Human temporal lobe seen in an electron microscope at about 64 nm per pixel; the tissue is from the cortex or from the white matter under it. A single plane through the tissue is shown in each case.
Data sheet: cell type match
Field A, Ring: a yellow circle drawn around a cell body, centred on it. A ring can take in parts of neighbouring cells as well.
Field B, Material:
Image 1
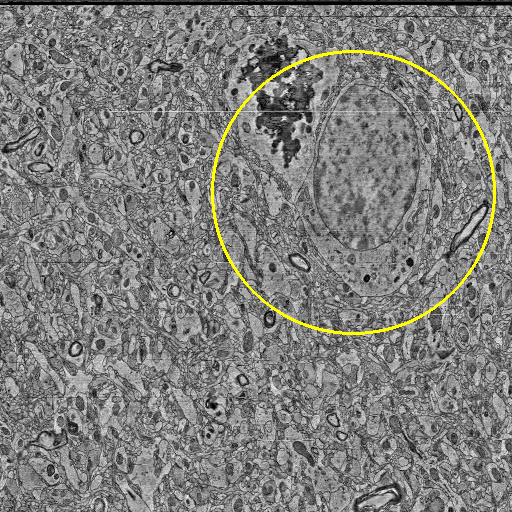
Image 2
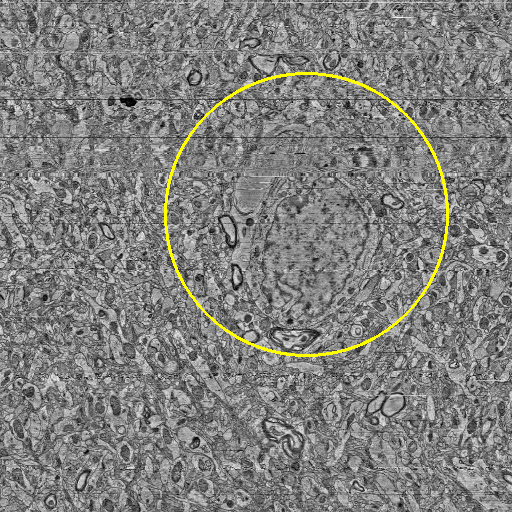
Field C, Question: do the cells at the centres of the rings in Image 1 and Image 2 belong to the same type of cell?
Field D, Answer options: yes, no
yes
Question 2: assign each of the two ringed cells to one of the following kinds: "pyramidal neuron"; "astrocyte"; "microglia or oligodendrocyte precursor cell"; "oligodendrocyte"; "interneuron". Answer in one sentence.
The first and the second cell are each an interneuron.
